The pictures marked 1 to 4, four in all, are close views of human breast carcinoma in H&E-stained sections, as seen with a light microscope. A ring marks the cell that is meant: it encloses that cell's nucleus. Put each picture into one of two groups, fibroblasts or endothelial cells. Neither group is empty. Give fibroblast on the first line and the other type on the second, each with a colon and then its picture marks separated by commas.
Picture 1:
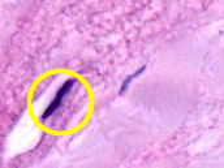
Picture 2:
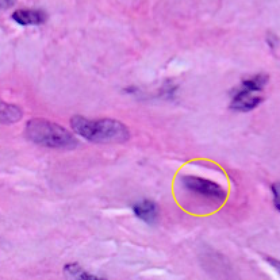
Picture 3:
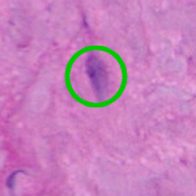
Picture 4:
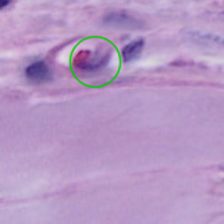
fibroblast: 1, 3
endothelial cell: 2, 4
